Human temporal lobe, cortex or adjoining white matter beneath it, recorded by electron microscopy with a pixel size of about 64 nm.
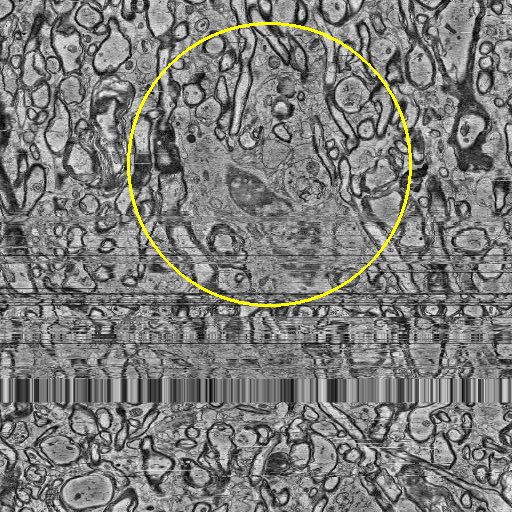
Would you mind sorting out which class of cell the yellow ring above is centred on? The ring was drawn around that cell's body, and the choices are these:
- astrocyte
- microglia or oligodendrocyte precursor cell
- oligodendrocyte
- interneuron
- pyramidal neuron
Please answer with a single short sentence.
This is the cell body of a microglial cell or oligodendrocyte precursor cell.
